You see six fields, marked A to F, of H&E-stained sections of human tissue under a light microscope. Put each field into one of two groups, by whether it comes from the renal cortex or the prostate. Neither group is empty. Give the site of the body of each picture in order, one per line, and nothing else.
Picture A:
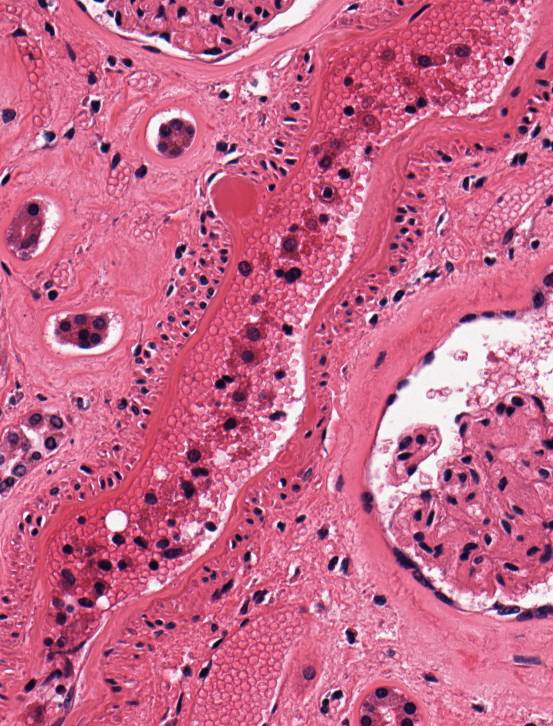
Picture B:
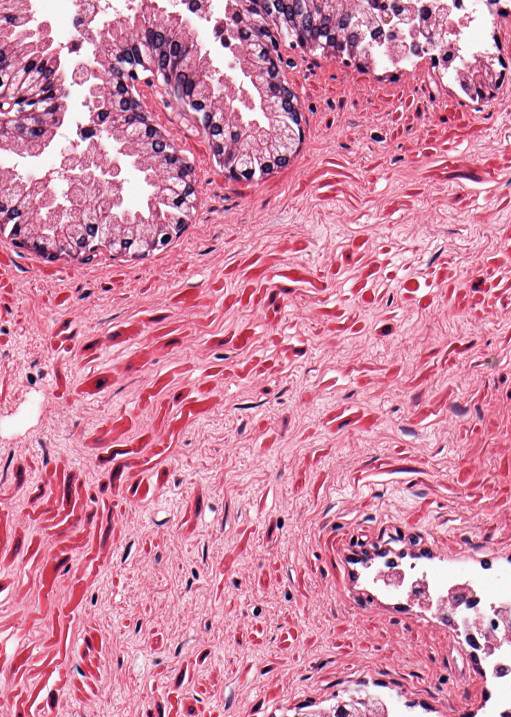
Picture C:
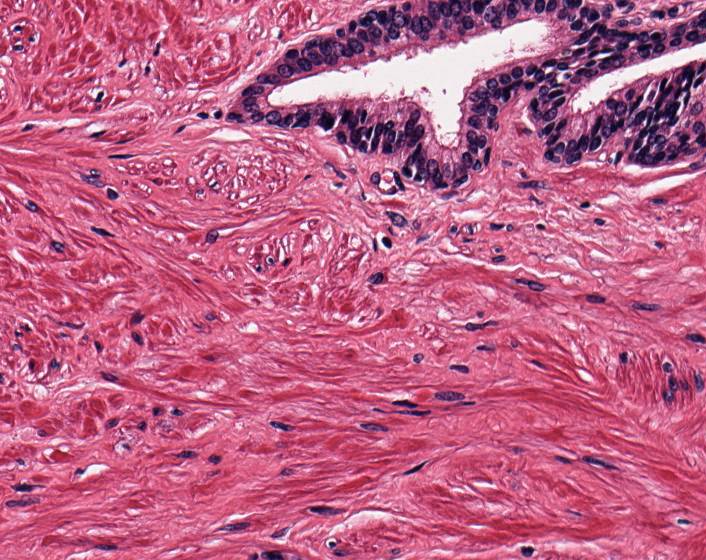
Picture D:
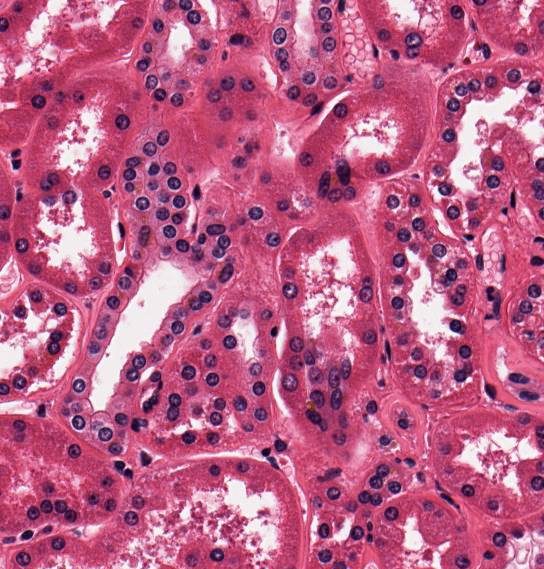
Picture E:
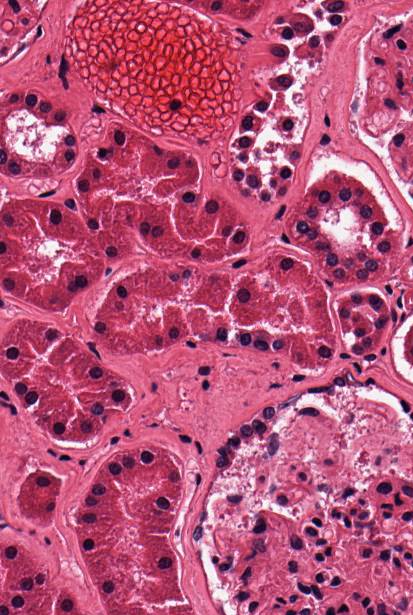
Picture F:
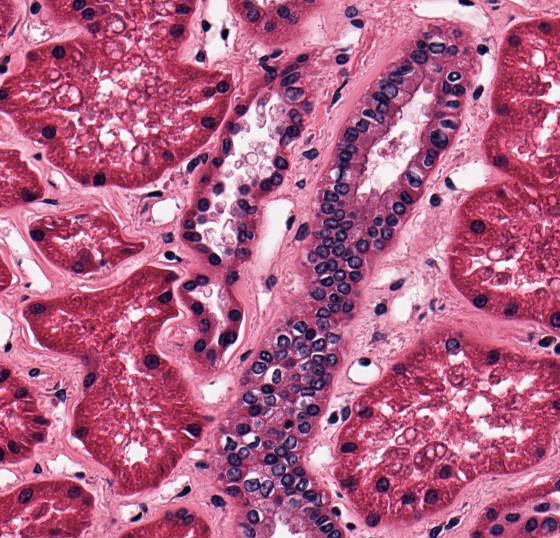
renal cortex
prostate
prostate
renal cortex
renal cortex
renal cortex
